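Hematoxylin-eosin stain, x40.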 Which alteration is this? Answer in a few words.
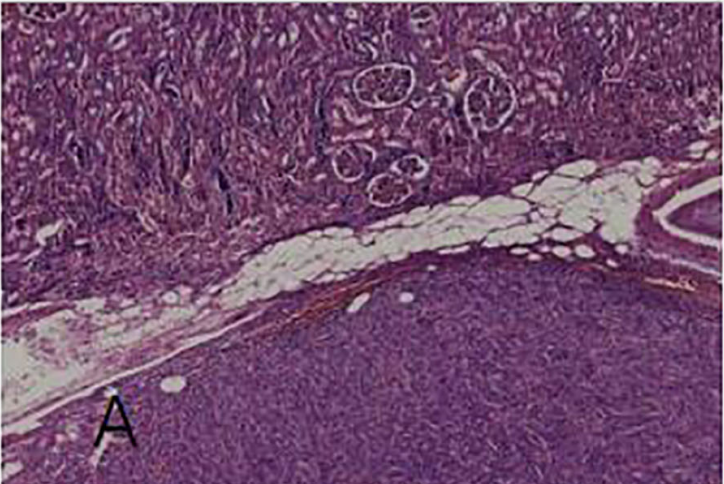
clear boundary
